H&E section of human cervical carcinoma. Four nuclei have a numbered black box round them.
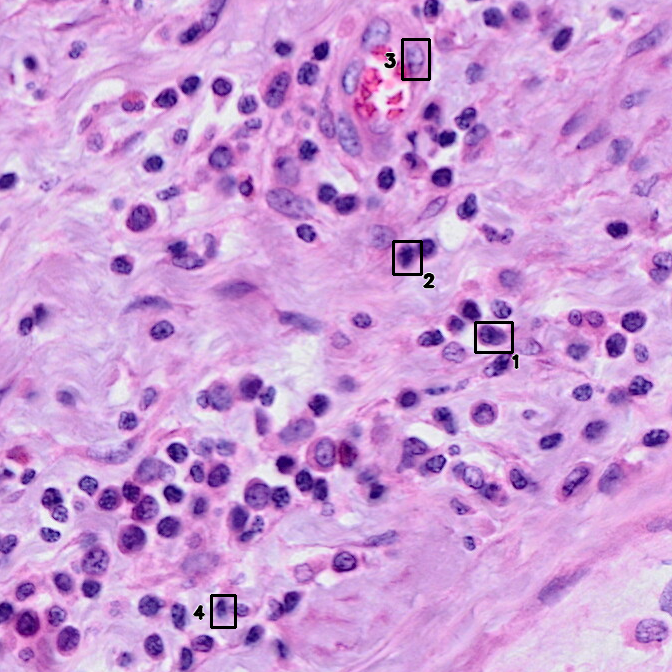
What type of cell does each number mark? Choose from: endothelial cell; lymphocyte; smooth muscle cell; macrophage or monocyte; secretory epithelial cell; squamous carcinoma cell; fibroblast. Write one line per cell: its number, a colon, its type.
1: lymphocyte
2: lymphocyte
3: endothelial cell
4: lymphocyte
